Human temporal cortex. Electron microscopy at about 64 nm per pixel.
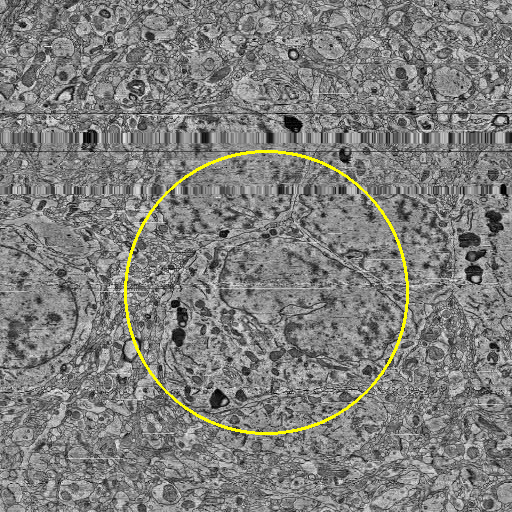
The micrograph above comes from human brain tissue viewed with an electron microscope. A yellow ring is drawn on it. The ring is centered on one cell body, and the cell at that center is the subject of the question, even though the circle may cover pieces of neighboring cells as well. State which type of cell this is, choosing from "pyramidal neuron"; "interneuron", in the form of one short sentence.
The cell the ring is centered on is an interneuron.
